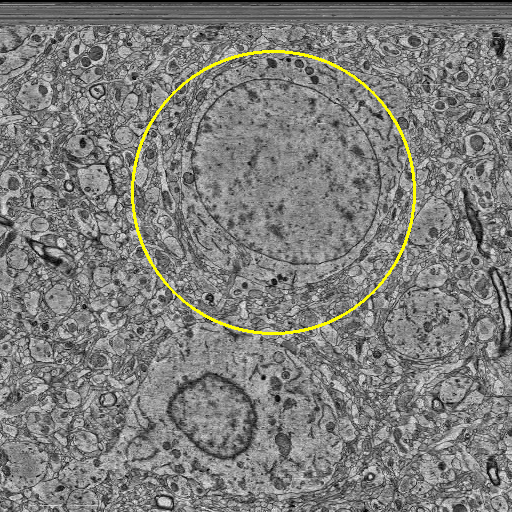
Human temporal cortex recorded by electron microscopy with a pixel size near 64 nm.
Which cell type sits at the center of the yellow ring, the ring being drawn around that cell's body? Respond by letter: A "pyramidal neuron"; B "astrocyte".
A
